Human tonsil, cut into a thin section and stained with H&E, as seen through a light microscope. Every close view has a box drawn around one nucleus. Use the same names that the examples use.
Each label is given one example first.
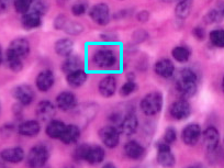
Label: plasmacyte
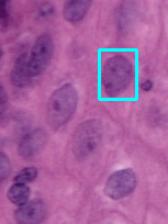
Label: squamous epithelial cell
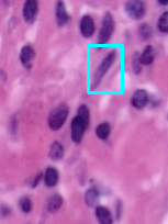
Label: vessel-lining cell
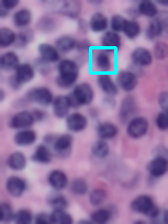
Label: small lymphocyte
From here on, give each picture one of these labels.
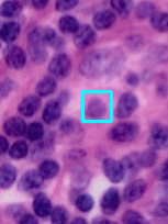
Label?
vessel-lining cell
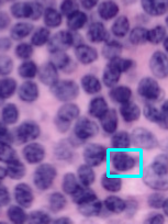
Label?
small lymphocyte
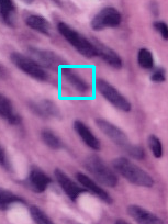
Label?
squamous epithelial cell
